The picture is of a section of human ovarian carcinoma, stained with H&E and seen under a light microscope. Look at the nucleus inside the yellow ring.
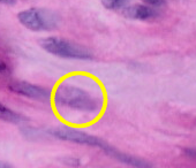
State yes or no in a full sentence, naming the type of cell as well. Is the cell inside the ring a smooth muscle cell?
Yes, regarding cell type, the cell inside the ring is a smooth muscle cell.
